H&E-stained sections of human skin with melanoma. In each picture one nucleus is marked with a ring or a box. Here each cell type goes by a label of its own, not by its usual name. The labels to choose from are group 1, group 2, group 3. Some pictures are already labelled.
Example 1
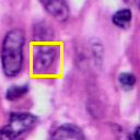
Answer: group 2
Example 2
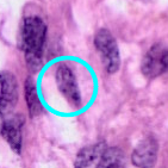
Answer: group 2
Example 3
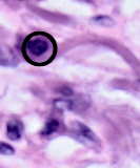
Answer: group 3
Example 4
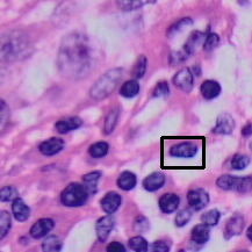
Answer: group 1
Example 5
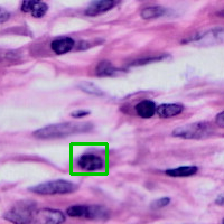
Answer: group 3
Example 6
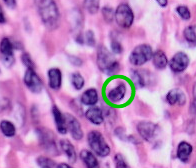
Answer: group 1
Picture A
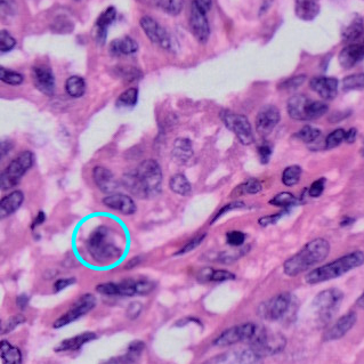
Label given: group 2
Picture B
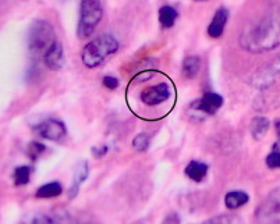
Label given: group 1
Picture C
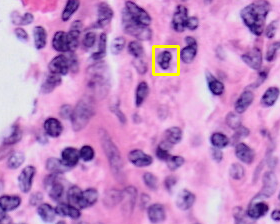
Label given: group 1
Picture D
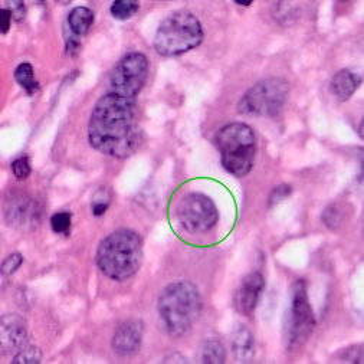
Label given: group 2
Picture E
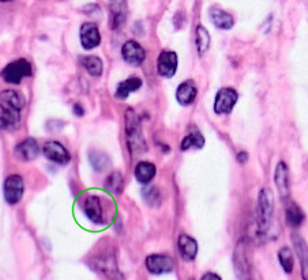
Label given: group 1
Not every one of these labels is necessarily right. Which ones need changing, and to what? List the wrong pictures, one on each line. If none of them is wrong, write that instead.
E should be group 3, not group 1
